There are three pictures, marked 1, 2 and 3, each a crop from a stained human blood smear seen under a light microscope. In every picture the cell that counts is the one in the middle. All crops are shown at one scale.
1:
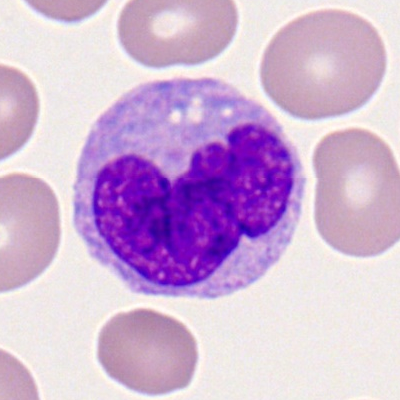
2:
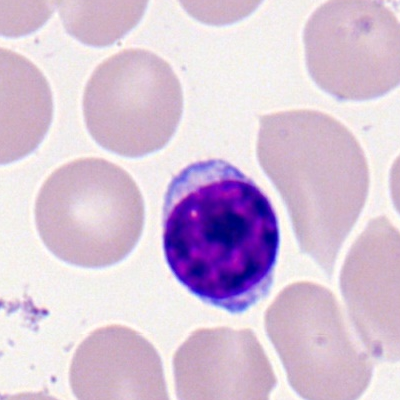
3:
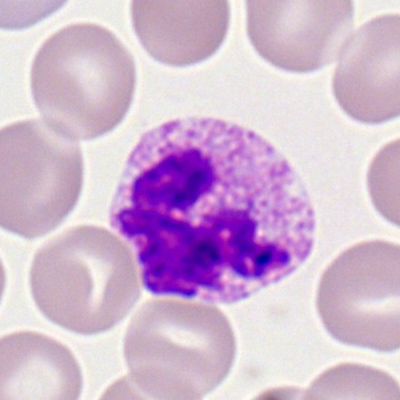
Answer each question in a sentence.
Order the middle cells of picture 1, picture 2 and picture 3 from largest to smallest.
The order is 1, 3, 2, beginning with the largest.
